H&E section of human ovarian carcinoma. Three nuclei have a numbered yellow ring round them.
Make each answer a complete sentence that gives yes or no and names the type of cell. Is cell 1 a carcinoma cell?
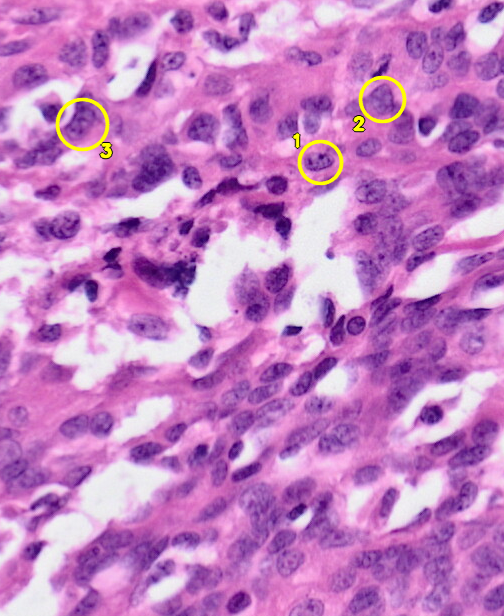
No, the marker 1 sits on a macrophage or monocyte, not on a carcinoma cell.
